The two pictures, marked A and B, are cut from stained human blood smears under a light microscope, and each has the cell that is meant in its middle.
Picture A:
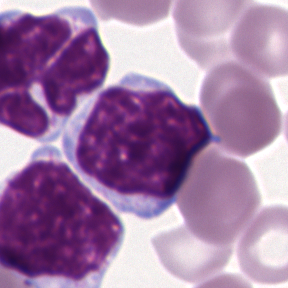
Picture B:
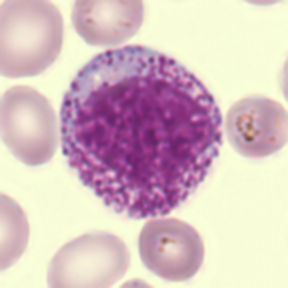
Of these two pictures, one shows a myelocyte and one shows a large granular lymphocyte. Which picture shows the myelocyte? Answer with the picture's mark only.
B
